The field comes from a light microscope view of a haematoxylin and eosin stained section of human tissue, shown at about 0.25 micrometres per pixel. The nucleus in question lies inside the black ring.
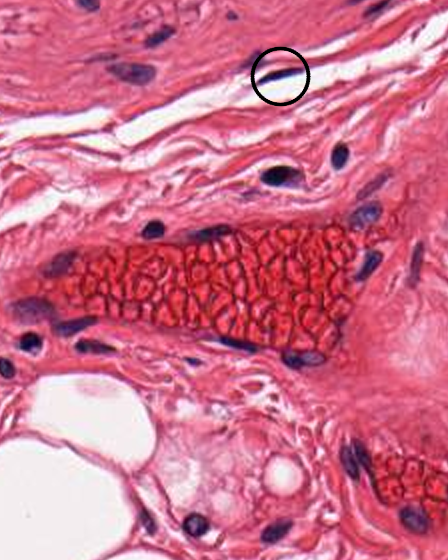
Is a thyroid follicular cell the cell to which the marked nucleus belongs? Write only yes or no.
no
